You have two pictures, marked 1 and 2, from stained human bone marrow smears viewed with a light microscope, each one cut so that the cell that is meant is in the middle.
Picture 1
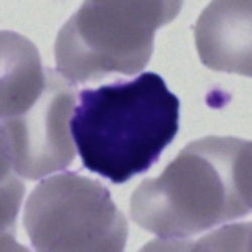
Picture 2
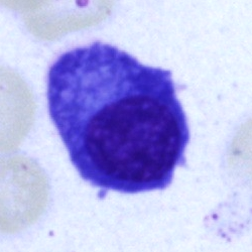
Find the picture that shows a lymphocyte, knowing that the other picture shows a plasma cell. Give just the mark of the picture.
1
